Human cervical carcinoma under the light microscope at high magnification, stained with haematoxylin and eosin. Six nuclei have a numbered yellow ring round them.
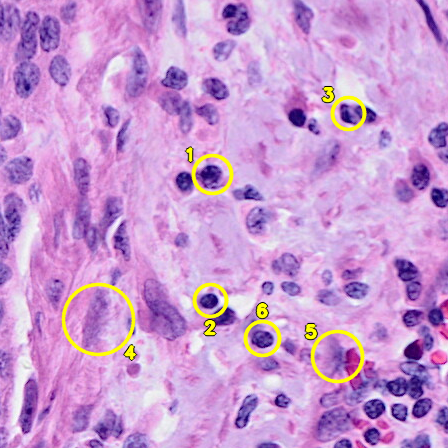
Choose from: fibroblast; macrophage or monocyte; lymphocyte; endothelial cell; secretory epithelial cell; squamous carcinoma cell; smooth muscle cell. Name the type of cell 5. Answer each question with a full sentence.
The cell indicated by marker 5 is an endothelial cell in this section.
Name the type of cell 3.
What the number 3 marks in this field is a lymphocyte.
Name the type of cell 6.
The nucleus with number 6 is that of a lymphocyte.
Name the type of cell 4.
Cell 4, as marked in the section, is a fibroblast.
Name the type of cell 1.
The cell marked with the number 1 is a lymphocyte.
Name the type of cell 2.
The cell given label 2 is a lymphocyte.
